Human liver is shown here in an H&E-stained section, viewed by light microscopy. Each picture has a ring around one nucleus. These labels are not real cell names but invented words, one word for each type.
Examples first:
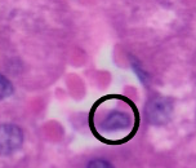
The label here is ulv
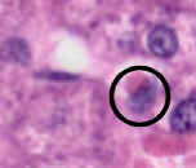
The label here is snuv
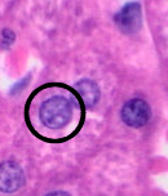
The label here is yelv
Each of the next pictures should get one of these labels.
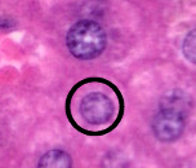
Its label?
yelv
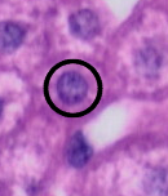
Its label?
yelv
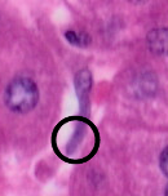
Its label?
ulv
